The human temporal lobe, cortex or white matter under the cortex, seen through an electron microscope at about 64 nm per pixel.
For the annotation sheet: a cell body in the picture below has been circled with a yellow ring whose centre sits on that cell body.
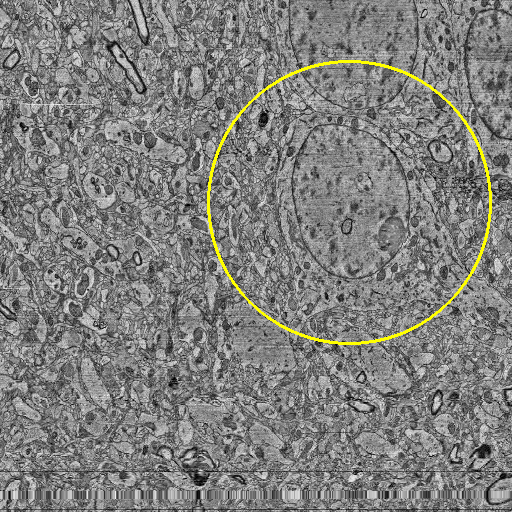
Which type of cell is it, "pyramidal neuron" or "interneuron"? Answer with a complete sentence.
The circled cell is a pyramidal neuron.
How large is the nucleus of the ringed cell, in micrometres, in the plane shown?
In this plane the nucleus spans approximately 11 by 7 micrometers.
